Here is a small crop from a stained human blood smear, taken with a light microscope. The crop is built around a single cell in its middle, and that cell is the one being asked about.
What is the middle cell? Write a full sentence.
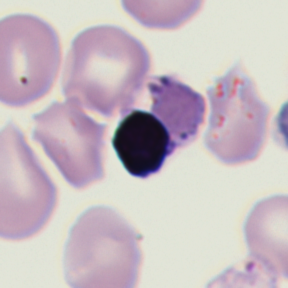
The cell the crop is centered on is an erythroblast.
